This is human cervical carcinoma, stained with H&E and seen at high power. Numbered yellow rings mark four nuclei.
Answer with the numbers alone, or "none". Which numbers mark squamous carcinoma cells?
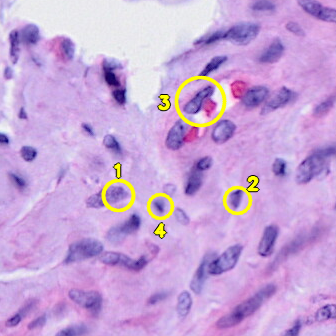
none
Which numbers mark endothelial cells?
3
